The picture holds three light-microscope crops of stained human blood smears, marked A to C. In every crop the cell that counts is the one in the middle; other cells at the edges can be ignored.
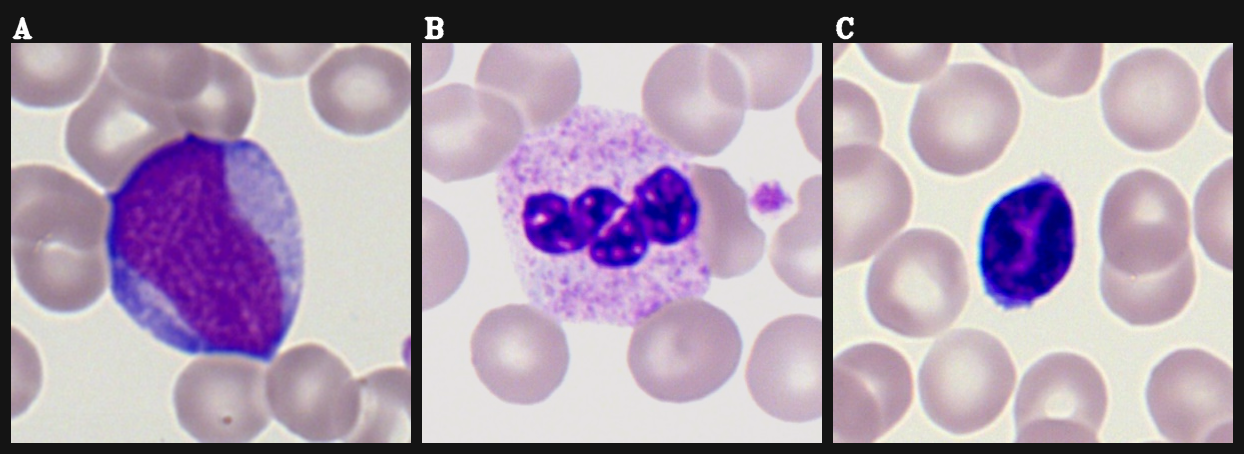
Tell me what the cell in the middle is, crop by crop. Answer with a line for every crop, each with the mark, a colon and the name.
A: myeloblast
B: segmented neutrophil
C: lymphocyte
